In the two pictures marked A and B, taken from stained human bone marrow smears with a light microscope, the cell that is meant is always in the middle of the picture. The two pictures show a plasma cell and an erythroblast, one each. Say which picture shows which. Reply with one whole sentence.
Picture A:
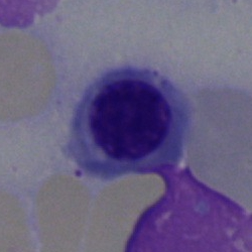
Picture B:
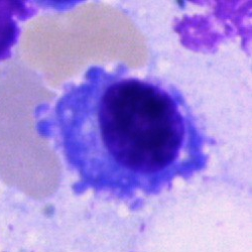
Picture A shows an erythroblast and picture B shows a plasma cell.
